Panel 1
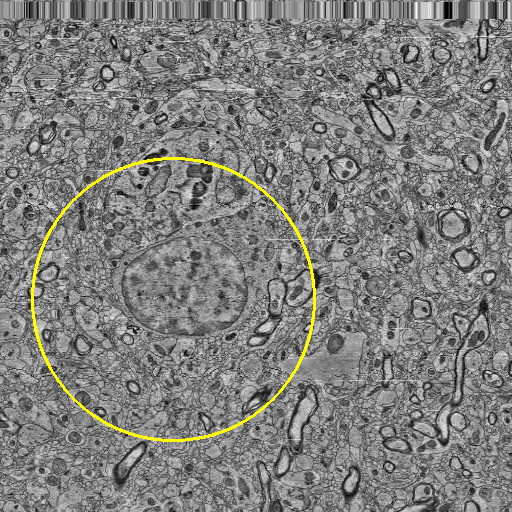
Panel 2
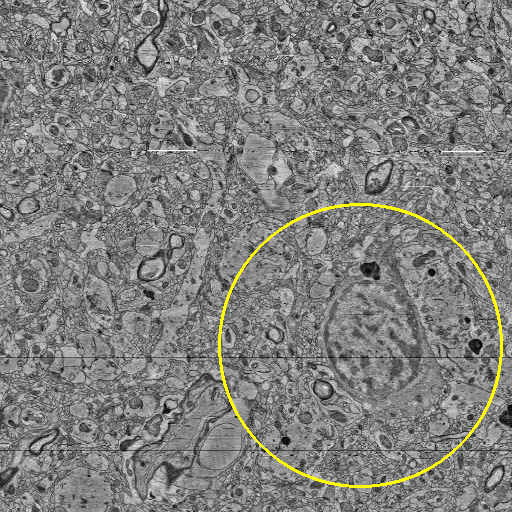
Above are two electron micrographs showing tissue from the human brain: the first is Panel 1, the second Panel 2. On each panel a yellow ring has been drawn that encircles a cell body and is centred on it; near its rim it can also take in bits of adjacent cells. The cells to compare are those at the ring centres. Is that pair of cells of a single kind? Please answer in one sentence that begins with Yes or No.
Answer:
Yes, the ring-centred cells of Panel 1 and Panel 2 belong to one kind.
